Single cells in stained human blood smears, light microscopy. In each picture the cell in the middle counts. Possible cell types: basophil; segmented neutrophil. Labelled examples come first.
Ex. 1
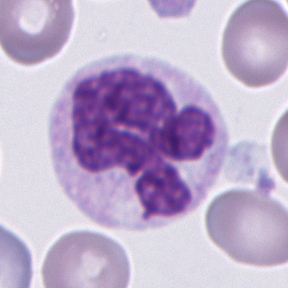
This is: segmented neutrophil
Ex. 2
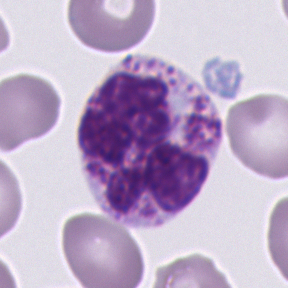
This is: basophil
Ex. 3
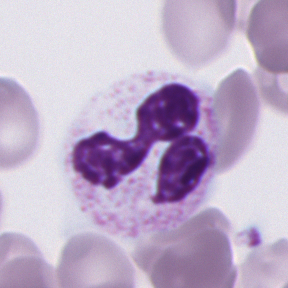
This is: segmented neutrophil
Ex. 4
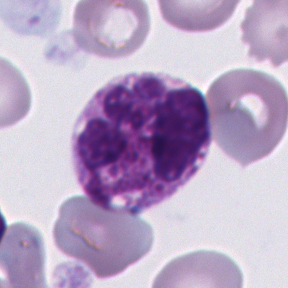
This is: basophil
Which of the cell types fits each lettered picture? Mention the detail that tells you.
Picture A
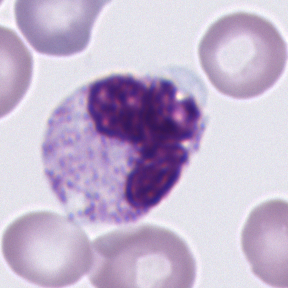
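segmented neutrophil. Reason: Small dark violet granules are scattered through the cytoplasm with pale background between them.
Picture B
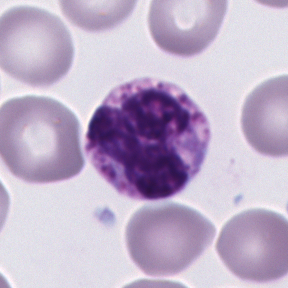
basophil. Reason: The dark purple nucleus fills most of the cell.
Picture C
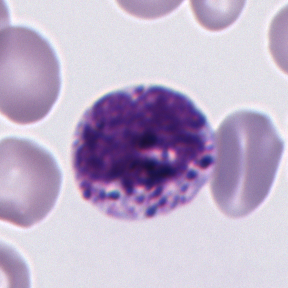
basophil. Reason: Coarse dark blue-purple granules are scattered across the cell, lying over the nucleus as well.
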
